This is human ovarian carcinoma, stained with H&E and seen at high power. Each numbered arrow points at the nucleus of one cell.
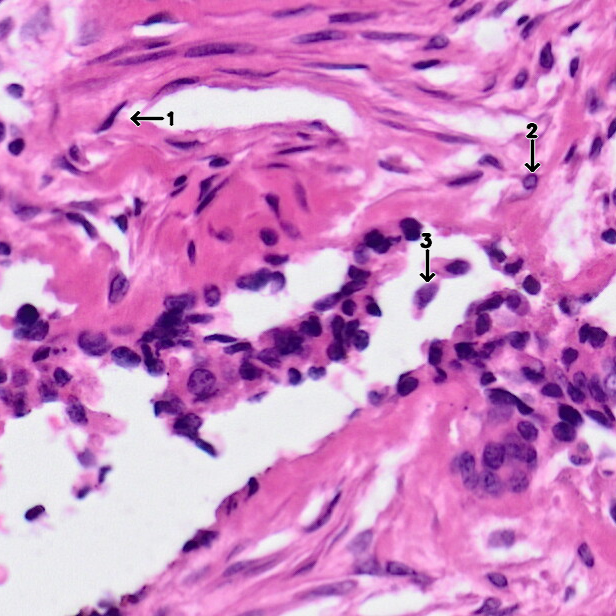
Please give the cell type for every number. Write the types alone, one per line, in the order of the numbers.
fibroblast
fibroblast
carcinoma cell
